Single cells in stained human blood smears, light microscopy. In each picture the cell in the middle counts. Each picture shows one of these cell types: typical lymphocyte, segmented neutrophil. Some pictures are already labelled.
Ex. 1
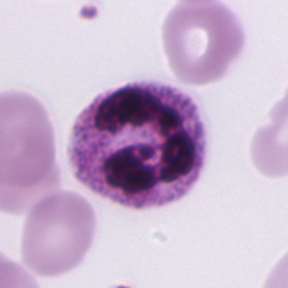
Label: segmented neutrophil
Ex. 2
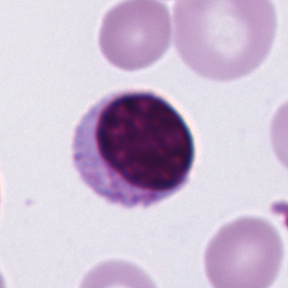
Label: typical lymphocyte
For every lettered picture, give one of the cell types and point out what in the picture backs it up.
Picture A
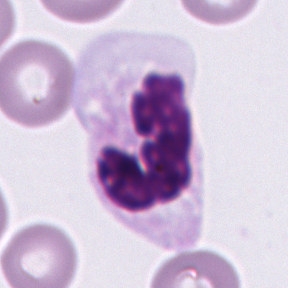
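segmented neutrophil. The cytoplasm is plentiful and pale pinkish-lilac.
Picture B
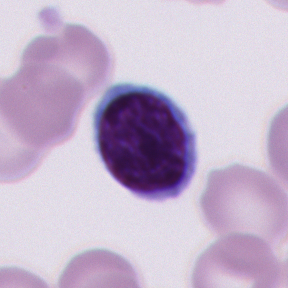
typical lymphocyte. The cytoplasm is blue.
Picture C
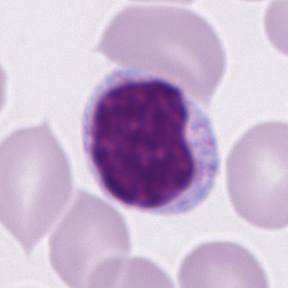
typical lymphocyte. The cytoplasm forms a narrow rim that is widest on the right side.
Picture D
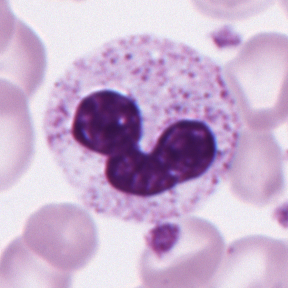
segmented neutrophil. The nucleus has two lobes joined by a broad band of nuclear material.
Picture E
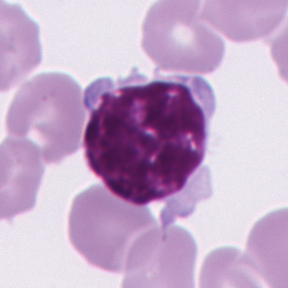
typical lymphocyte. The cytoplasm is a scant, pale greyish-lilac rim, seen mostly along the top of the cell.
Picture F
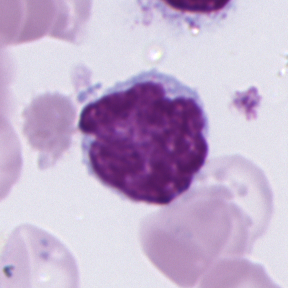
typical lymphocyte. The cytoplasm forms a thin rim that is widest along the top edge of the cell.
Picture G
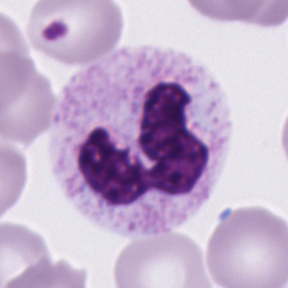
segmented neutrophil. The cytoplasm is abundant and pale lilac-pink.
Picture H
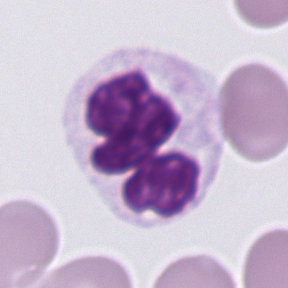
segmented neutrophil. The nucleus is divided into two main lobes joined by a narrow connection.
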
